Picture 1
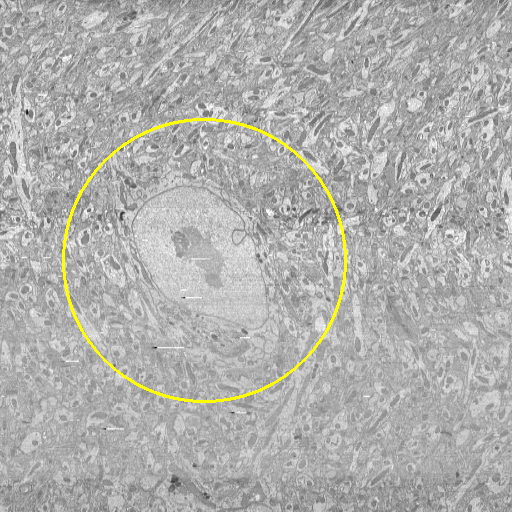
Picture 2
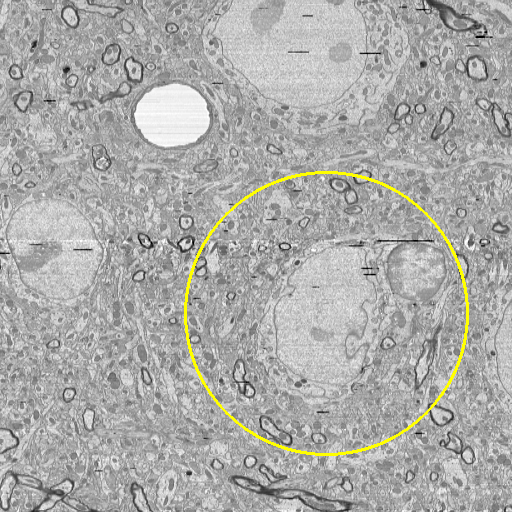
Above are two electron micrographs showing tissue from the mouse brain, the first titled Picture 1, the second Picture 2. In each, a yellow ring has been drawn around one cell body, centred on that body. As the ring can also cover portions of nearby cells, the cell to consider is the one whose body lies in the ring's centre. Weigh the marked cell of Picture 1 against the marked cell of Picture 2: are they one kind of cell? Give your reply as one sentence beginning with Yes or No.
Yes, the two cells sitting at the ring centres in the pictures are of one kind.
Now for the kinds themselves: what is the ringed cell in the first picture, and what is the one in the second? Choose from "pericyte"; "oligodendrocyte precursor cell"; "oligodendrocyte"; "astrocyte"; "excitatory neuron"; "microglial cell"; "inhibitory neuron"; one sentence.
In each of the two pictures, the ringed cell is an inhibitory neuron.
